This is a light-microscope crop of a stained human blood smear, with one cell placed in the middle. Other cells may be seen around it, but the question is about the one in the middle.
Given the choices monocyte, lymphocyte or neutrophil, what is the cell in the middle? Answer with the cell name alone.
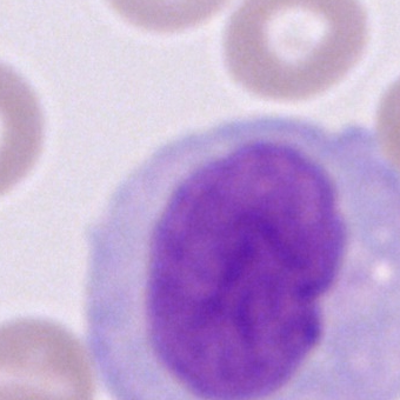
monocyte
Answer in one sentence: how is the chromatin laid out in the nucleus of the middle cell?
Its chromatin is finely dispersed rather than coarsely clumped.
